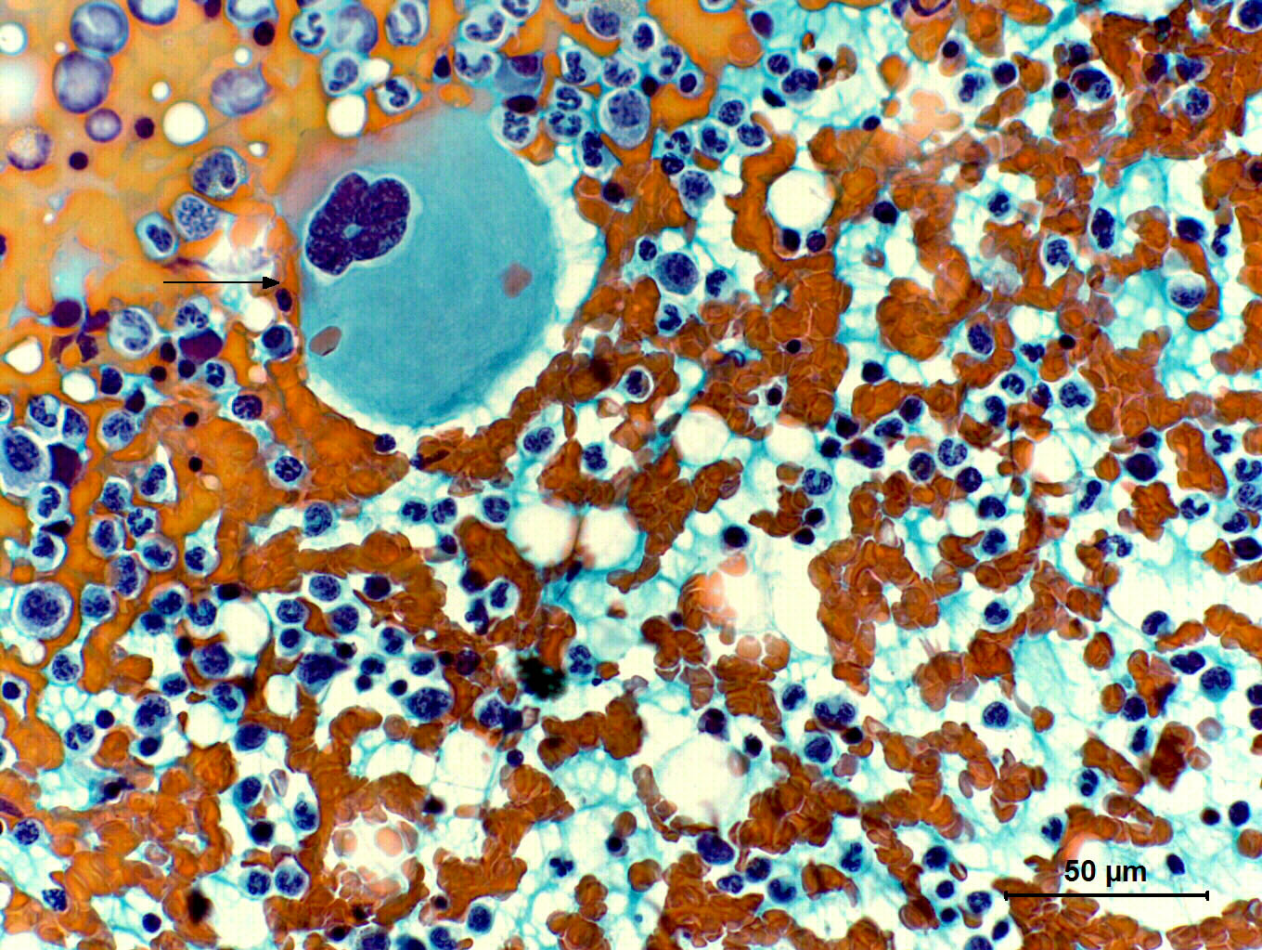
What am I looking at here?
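A cytology smear shows abundant orange-brown red blood cells lying in clumps over a blue-green, wispy background, with many small round cells with dark round or lobed nuclei scattered among them. Near the upper left lies one giant cell with a broad, smooth, pale blue-green cytoplasm and a single dark, multilobed nucleus, many times larger than its neighbours. Its size and lobed nucleus mark it as a megakaryocyte.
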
